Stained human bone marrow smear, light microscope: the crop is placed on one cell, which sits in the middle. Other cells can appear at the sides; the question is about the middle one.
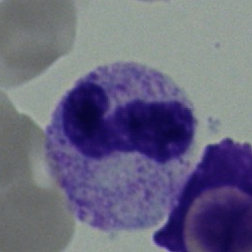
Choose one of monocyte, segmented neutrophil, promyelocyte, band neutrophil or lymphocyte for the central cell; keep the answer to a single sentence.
Positioned in the middle of the crop is a band neutrophil.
